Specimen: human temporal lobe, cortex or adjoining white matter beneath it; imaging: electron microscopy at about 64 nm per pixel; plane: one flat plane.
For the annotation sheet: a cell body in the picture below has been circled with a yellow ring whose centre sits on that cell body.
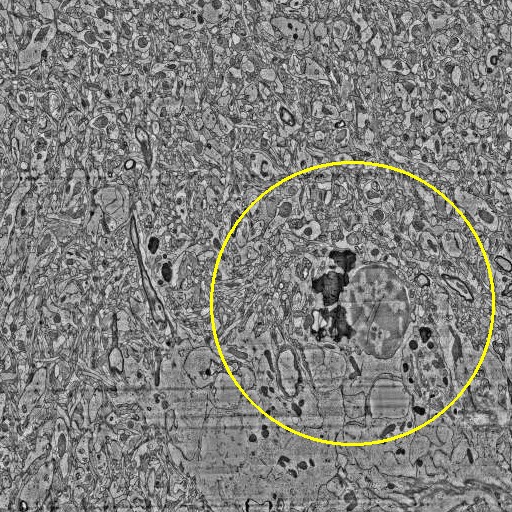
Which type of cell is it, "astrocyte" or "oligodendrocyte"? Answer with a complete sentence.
The circled cell is an oligodendrocyte.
